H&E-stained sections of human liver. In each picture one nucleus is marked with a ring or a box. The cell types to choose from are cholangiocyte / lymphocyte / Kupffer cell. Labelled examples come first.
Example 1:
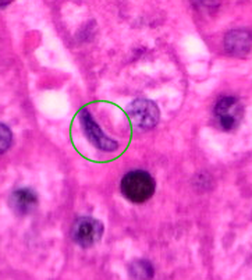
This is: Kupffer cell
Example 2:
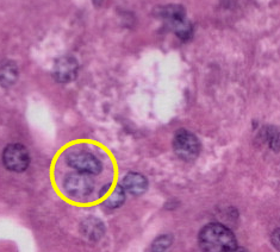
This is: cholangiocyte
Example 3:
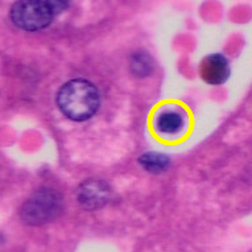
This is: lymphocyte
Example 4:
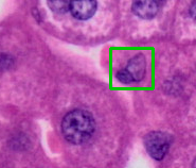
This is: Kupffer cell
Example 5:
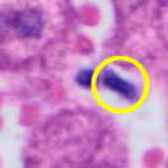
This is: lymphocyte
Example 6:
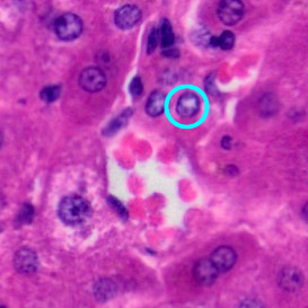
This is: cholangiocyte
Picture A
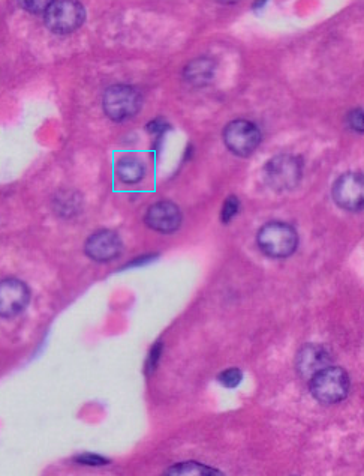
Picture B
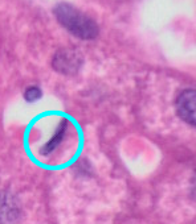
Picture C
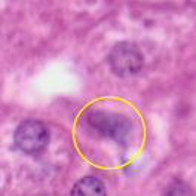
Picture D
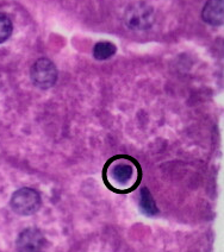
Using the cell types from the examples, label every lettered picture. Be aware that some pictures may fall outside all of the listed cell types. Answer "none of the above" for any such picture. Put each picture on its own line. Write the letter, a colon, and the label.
A: cholangiocyte
B: none of the above
C: Kupffer cell
D: lymphocyte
